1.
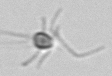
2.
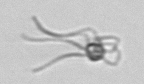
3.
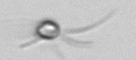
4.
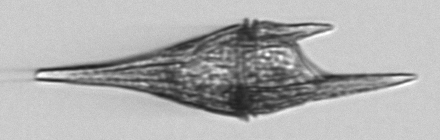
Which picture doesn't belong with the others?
Picture 4.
